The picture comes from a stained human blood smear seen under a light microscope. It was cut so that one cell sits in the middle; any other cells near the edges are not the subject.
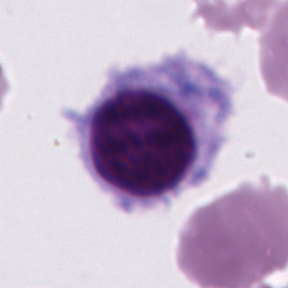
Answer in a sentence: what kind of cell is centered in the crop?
The identification for the central cell is a hairy cell.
